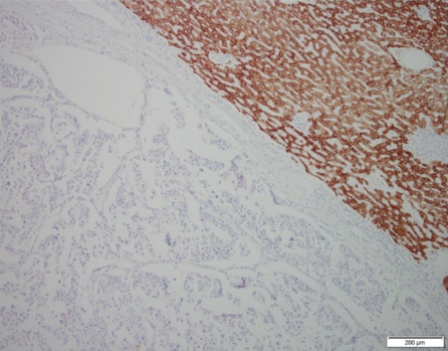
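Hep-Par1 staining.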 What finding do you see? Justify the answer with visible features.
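The lower-left region is unstained, with only blue nuclei. Its cells lie in crowded nests and branching trabeculae separated by thin septa and clefts. It is walled off from the brown-stained tissue by a fibrous band.
Answer: tumour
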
